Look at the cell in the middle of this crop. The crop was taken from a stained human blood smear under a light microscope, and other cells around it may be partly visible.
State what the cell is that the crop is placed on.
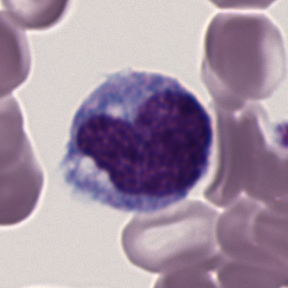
monocyte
